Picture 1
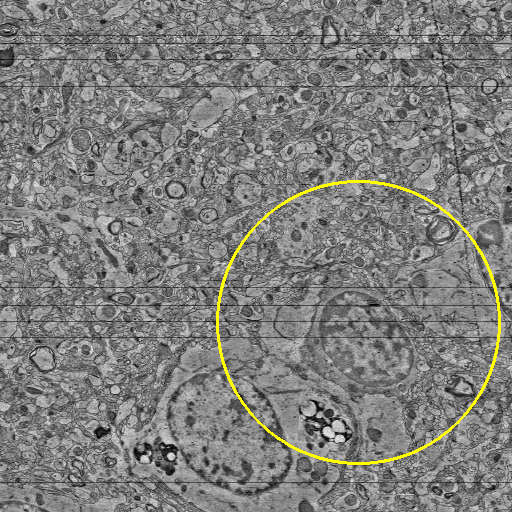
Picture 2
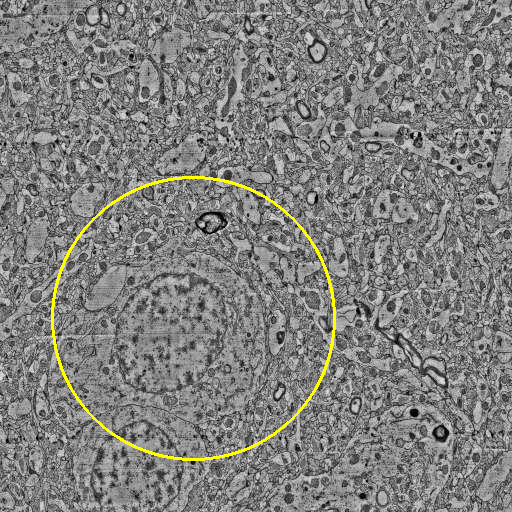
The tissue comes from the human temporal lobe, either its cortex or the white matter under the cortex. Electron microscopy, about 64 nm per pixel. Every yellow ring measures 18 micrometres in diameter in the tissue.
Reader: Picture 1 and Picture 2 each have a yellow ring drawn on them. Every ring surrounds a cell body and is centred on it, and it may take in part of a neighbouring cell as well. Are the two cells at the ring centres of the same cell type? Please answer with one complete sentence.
No, the cells are of two cell types.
